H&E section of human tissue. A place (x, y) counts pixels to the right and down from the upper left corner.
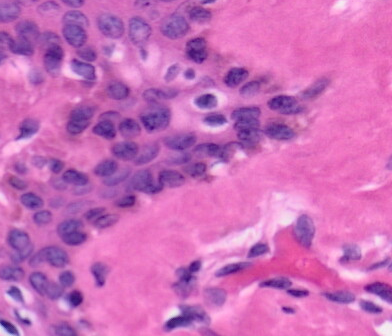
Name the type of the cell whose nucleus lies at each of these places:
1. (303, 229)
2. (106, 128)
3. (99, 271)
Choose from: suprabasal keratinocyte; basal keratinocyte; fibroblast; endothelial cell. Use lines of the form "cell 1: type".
cell 1: endothelial cell
cell 2: basal keratinocyte
cell 3: fibroblast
